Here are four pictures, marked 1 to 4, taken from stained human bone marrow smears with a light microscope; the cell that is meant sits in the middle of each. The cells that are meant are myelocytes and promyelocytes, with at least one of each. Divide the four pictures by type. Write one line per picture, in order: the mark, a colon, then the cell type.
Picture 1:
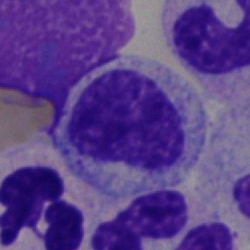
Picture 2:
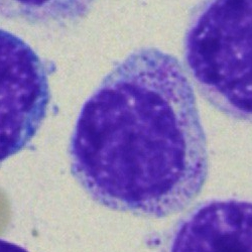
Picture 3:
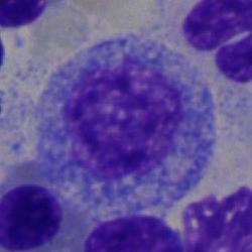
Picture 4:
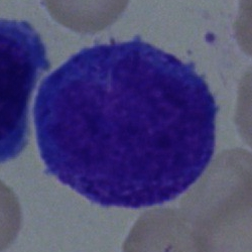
1: myelocyte
2: myelocyte
3: promyelocyte
4: promyelocyte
